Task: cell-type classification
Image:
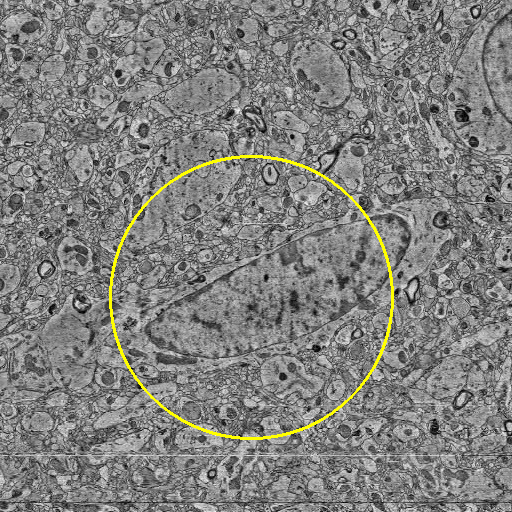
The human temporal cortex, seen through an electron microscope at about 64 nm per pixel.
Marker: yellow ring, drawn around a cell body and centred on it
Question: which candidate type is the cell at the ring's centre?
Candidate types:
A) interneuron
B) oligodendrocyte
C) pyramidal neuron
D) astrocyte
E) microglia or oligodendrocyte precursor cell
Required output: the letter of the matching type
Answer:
E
